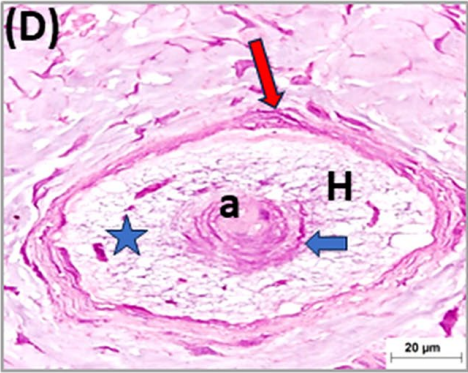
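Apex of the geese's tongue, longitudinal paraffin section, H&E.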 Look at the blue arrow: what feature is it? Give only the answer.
Internal capsule.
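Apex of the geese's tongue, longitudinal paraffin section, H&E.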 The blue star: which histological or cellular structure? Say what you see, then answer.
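Collagenous fiber of corpuscle. The star lies in a pale, loosely fibrillar zone between the inner core and outer wall.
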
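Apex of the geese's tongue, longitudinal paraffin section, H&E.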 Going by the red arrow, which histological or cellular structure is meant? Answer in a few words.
external capsule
